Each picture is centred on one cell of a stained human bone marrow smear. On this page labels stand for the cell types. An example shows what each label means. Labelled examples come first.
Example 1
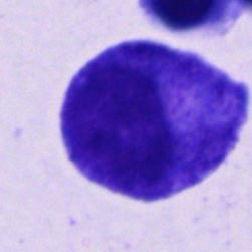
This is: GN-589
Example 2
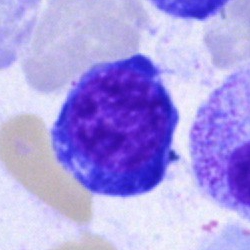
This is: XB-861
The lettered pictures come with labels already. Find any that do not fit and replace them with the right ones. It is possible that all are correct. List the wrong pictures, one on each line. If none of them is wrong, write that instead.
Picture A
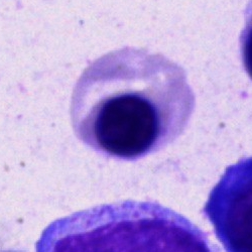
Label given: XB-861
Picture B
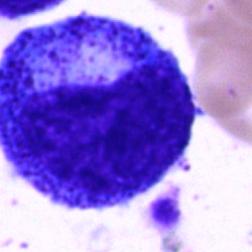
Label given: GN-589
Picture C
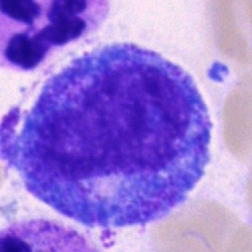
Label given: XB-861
C: GN-589, not XB-861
